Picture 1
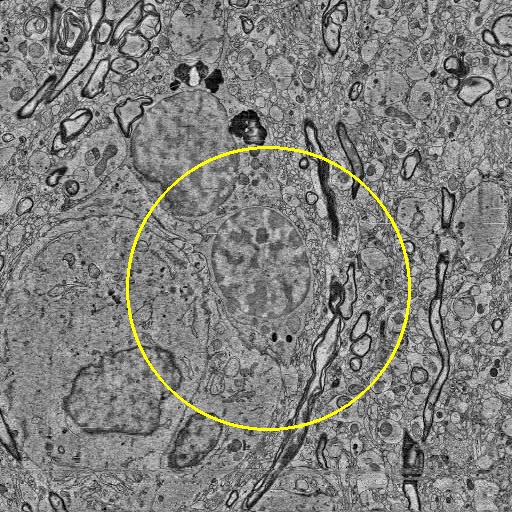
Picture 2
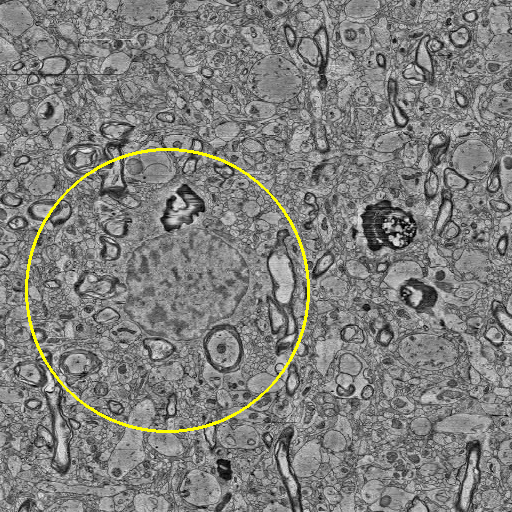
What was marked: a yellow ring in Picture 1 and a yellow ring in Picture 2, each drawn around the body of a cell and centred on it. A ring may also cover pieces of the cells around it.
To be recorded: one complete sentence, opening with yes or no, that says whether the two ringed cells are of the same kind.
Yes, the two ringed cells are of the same kind.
